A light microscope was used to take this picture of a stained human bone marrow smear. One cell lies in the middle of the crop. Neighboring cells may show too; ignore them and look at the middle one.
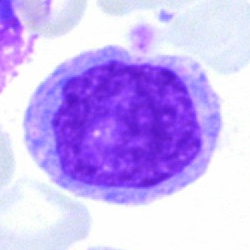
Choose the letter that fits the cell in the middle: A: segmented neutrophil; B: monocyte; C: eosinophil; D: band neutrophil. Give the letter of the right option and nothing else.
B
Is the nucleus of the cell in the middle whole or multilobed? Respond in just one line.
The nucleus is one compact mass, round, oval or kidney-shaped in outline.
